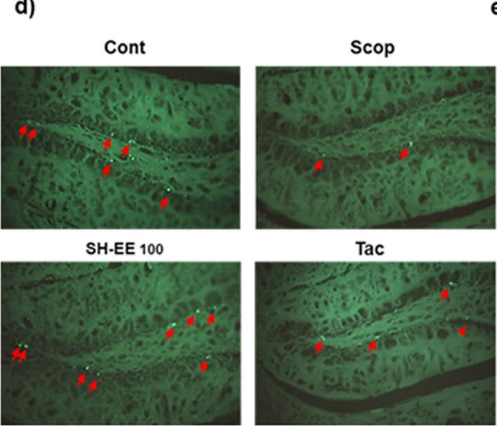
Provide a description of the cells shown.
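Each image shows the dentate gyrus of the hippocampus as a curved, V-shaped band of densely packed cells against a mottled background. Small, isolated bright spots, pointed out by red arrows, sit along the inner edge of this band, in the subgranular zone. Their number differs between the four images.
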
